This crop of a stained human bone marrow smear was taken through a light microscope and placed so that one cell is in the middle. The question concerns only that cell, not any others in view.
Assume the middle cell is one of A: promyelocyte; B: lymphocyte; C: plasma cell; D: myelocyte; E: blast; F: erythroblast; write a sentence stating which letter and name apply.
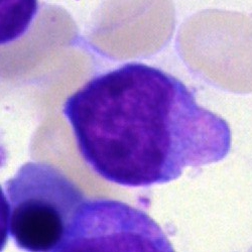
Option E gives the correct identity of the central cell, namely a blast.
